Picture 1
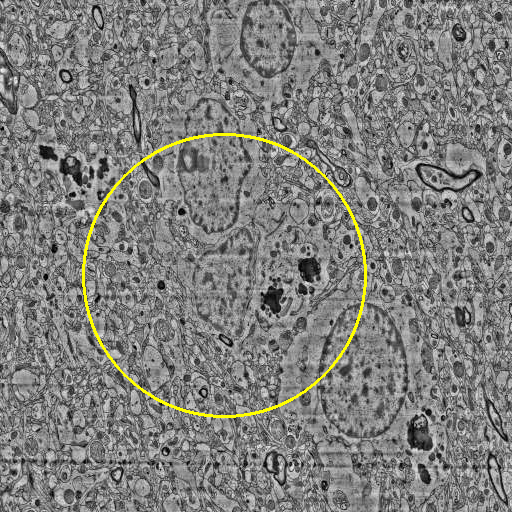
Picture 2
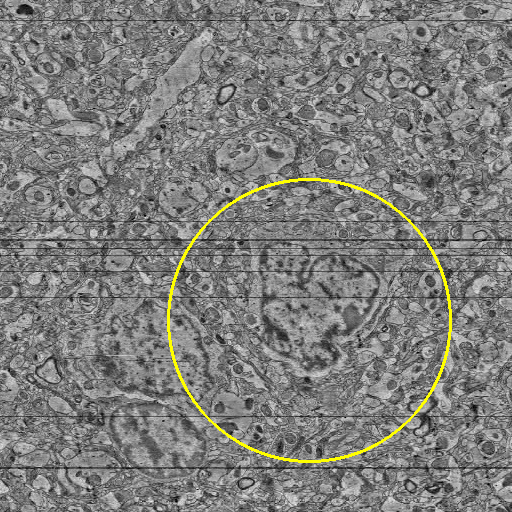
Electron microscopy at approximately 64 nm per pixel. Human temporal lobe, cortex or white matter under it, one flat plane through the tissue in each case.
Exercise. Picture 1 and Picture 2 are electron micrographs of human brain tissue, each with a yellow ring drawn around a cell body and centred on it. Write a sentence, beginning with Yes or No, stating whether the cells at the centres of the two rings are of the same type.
Yes, the cells at the centres of both rings are of the same type.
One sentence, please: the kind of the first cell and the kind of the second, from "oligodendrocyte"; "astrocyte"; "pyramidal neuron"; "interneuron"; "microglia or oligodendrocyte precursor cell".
Each cell at the centre of a ring is a microglial cell or oligodendrocyte precursor cell.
